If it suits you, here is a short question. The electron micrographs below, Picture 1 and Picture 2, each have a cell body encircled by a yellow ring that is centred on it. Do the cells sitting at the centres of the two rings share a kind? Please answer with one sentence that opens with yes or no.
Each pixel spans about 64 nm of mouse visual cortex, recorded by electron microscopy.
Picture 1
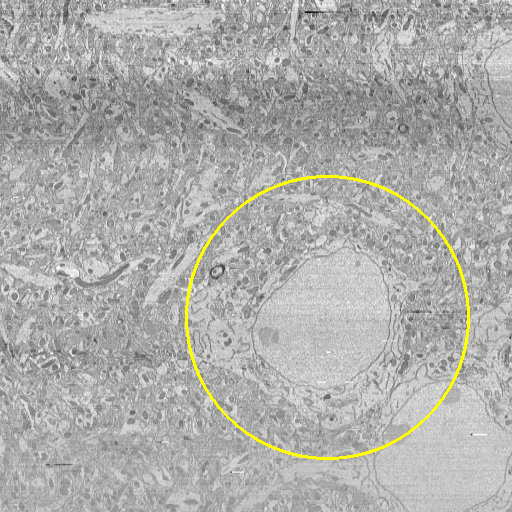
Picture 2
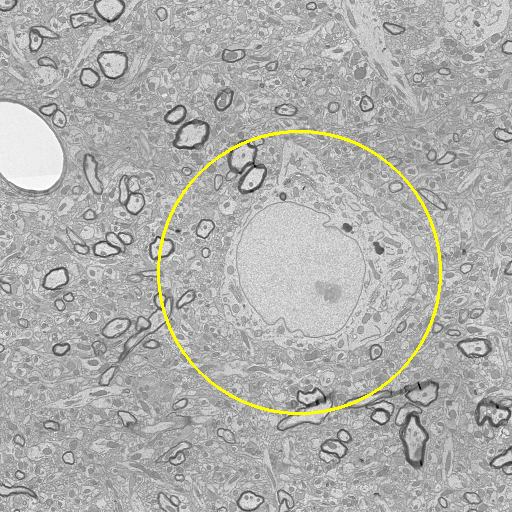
Yes, the two cells sitting at the ring centres share a single kind.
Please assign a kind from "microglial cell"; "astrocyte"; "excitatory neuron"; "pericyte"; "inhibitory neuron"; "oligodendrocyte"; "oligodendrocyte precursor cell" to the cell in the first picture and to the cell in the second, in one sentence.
Both pictures show an excitatory neuron at the centre of the ring.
